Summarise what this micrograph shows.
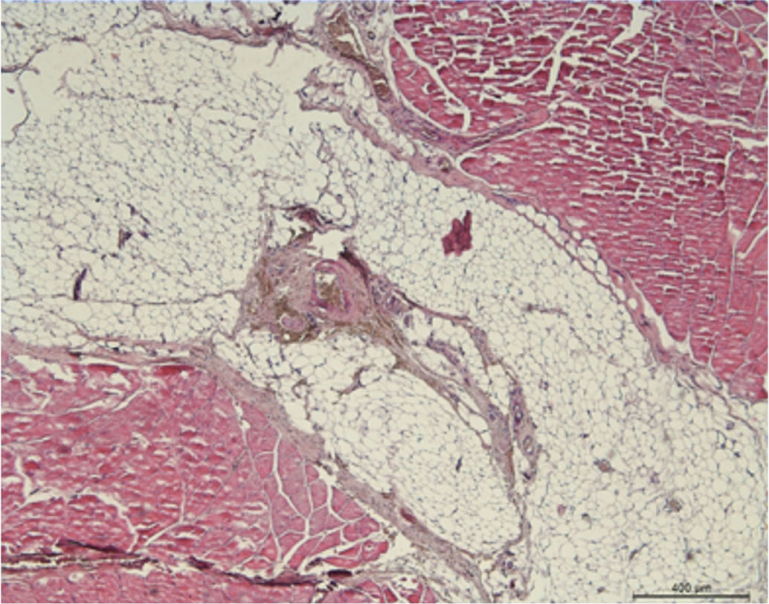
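Skeletal muscle interrupted by large islands of fat: broad pale fields of empty-looking, polygonal fat cells with thin pink walls occupy the centre and left, while deep pink bundles of muscle fibres, cut so their fibres appear as packed elongated or angular profiles, lie at the upper right and lower left. Thin strands of pale pink connective tissue with scattered purple nuclei and some brownish material run between the fat lobules, and a small pink fragment of muscle sits isolated within the fat near the middle. The picture is of muscle extensively infiltrated by adipose tissue.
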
